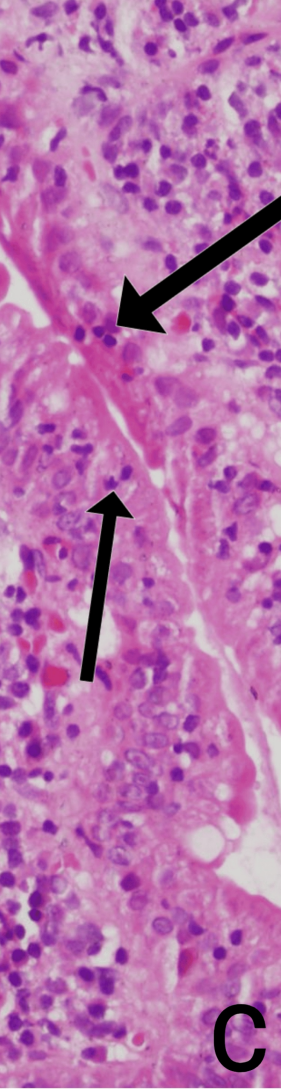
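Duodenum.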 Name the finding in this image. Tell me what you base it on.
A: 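Many small dark round nuclei are scattered within the epithelium. Larger oval pale epithelial nuclei lie alongside them. So: intraepithelial lymphocytosis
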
